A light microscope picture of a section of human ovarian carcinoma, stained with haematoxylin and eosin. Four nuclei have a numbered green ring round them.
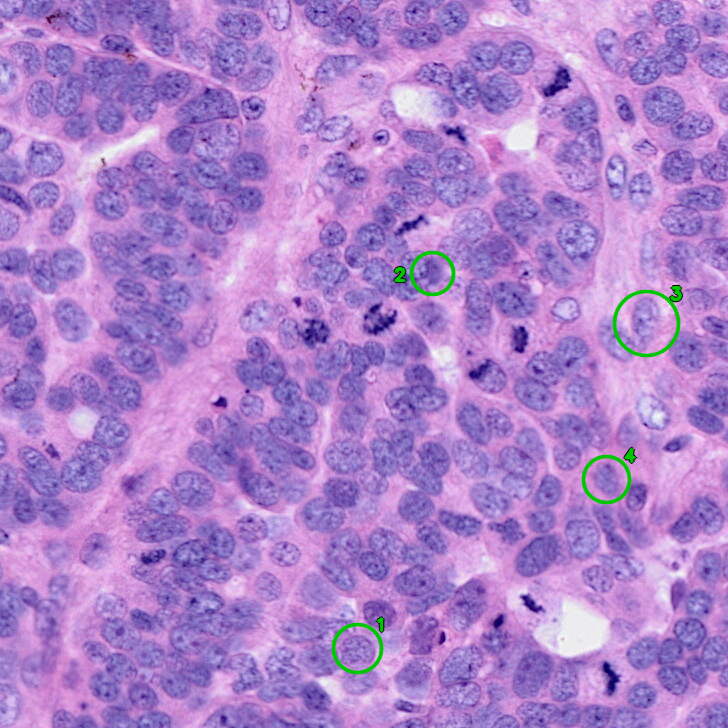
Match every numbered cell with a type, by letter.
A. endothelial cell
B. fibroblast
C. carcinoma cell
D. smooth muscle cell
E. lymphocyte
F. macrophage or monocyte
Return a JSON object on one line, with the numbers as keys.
{"1": "C", "2": "C", "3": "B", "4": "C"}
